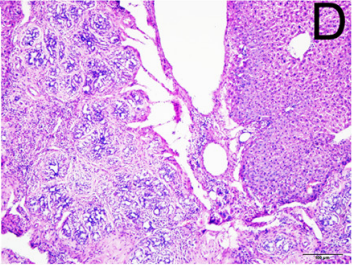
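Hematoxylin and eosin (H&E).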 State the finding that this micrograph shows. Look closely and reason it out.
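Many small duct-like structures cluster in rounded nodules. Pale pink fibrous tissue surrounds the duct clusters. Ordinary liver parenchyma remains at the right side. So: bile duct hyperplasia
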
